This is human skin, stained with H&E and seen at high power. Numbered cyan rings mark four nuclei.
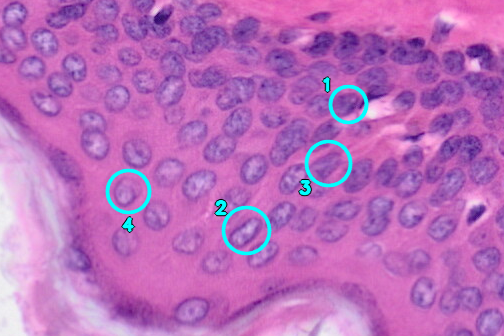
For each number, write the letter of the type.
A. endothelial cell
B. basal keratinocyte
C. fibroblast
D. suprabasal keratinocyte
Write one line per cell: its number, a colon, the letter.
1: B
2: D
3: B
4: D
